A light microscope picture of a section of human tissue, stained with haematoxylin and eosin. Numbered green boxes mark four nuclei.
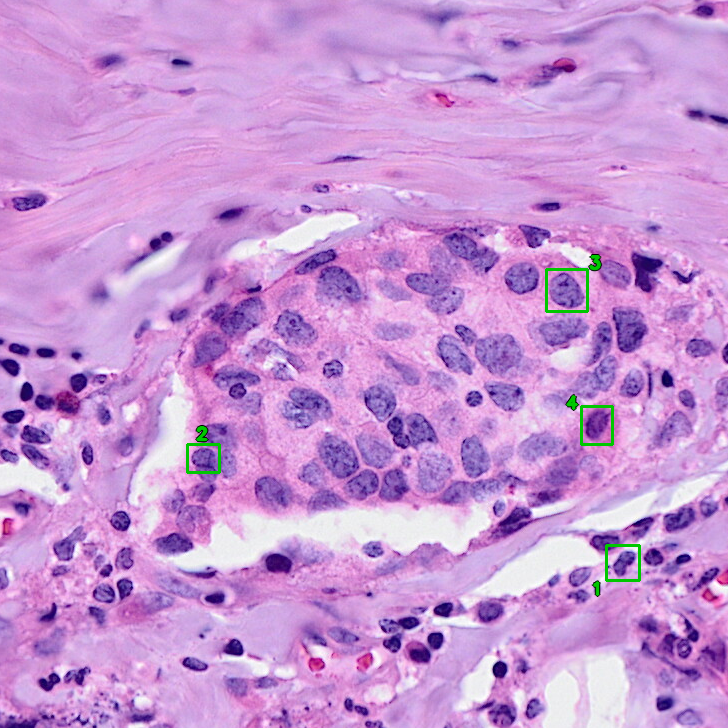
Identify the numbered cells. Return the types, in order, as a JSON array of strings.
["lymphocyte", "carcinoma cell", "carcinoma cell", "carcinoma cell"]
